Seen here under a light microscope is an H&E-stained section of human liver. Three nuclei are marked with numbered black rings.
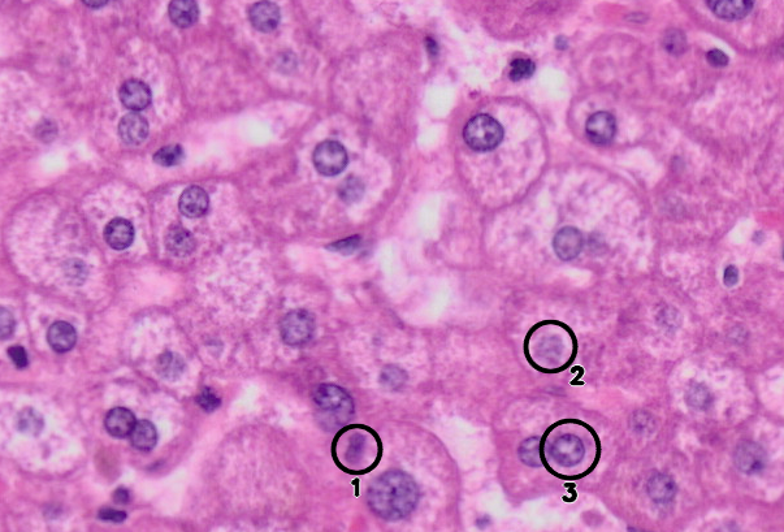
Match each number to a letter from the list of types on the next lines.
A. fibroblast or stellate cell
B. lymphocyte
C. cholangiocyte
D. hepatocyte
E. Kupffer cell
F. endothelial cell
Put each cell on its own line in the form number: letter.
1: A
2: D
3: D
